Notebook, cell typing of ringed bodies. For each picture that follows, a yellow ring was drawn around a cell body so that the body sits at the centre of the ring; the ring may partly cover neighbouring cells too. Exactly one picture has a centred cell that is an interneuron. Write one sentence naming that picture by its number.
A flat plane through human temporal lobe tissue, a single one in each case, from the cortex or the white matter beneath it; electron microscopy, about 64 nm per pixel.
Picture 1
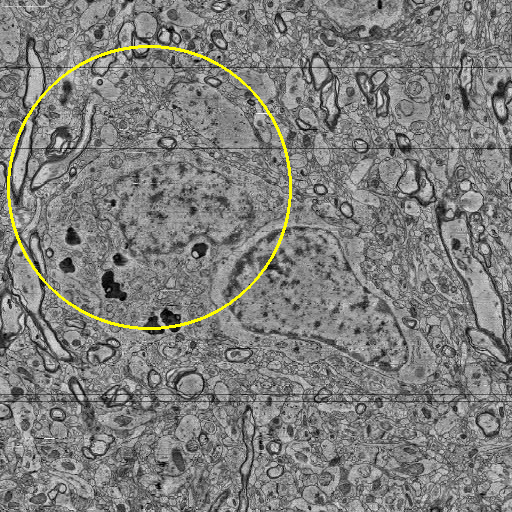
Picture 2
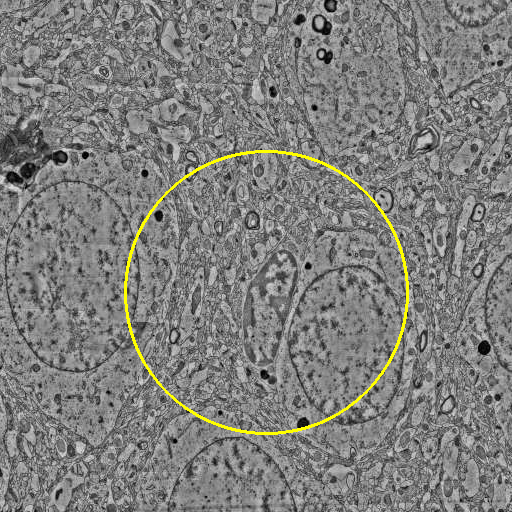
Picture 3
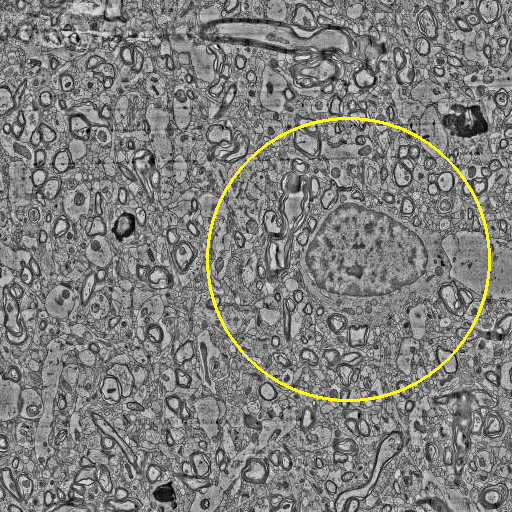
Picture 1 is the one with it at the centre of its ring.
